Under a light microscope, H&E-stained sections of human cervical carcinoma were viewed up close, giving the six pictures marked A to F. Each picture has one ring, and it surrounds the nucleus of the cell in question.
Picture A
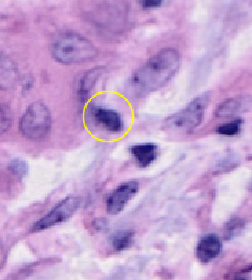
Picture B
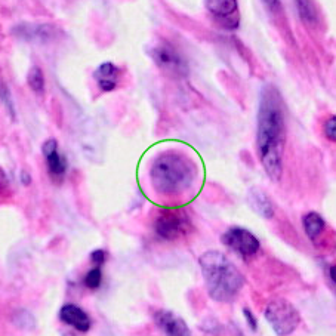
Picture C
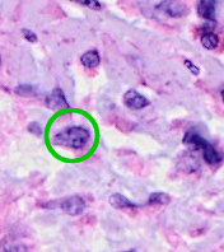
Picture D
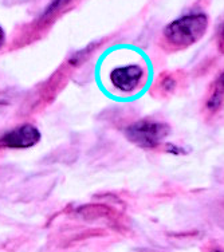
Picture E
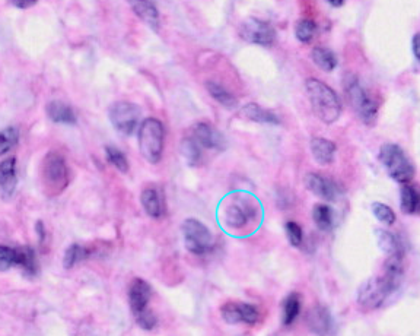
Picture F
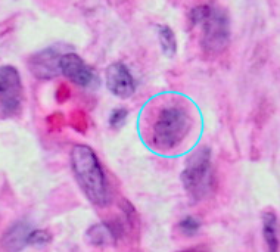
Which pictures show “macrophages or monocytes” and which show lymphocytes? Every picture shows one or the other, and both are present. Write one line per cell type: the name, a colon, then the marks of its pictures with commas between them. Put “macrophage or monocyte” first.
macrophage or monocyte: B, C, E, F
lymphocyte: A, D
